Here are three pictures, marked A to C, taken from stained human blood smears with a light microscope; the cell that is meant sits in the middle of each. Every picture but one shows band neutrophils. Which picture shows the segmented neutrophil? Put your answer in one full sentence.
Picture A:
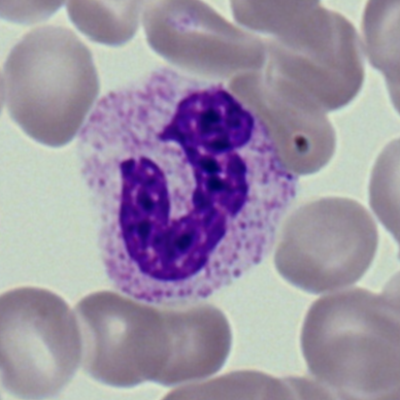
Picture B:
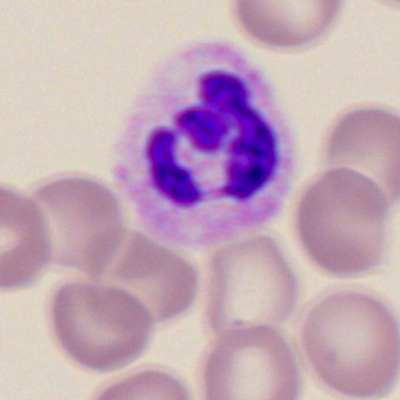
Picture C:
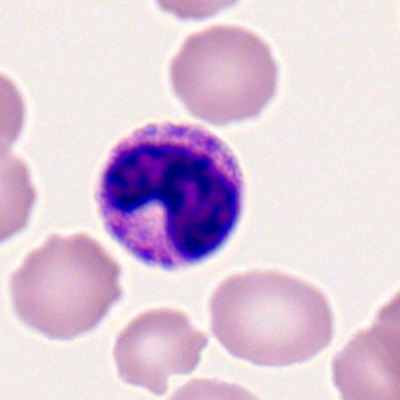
It is picture B that shows the segmented neutrophil.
